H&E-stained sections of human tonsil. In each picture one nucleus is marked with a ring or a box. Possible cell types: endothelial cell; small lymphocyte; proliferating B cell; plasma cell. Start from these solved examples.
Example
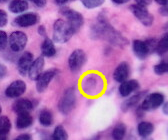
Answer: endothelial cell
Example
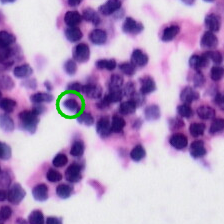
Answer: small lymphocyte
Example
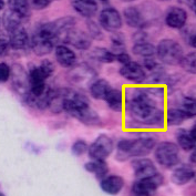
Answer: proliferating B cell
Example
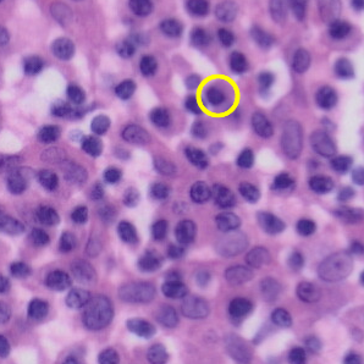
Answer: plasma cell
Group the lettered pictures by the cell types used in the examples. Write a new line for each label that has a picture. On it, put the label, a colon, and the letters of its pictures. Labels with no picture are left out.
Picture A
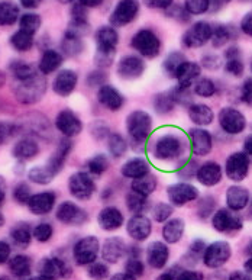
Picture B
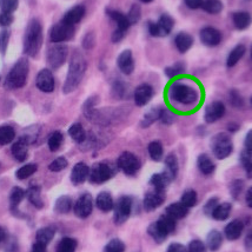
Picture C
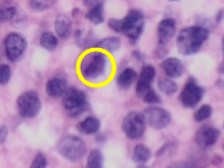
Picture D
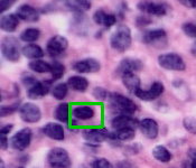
small lymphocyte: A, D
proliferating B cell: C
plasma cell: B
